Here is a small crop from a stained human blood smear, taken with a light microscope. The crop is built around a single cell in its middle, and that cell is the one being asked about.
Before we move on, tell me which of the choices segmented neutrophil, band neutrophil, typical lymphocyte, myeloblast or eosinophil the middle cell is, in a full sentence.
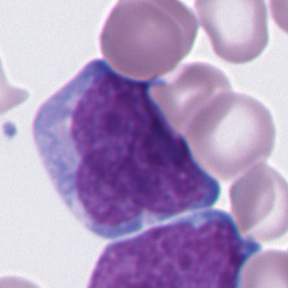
Positioned in the middle of the crop is a myeloblast.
